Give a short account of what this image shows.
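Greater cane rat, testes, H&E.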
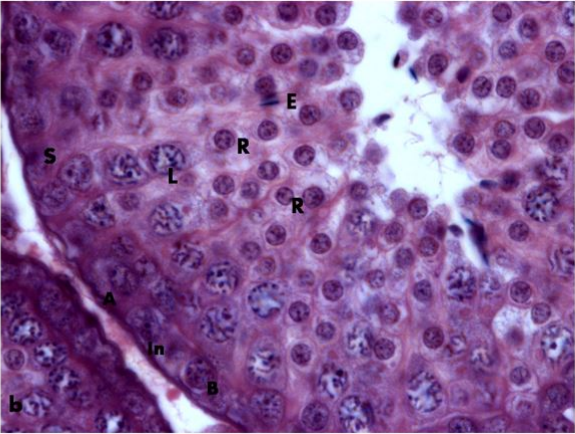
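Part of a seminiferous tubule of the testis with layered spermatogenic cells and Sertoli cells, stained pink and purple. Along the basal boundary lie spermatogonia in a single outer row, above them larger spermatocytes with big round nuclei showing coarse, thread-like chromatin. Toward the lumen are small round spermatids with evenly stained nuclei and a few elongated spermatids with slender, dark nuclei. A neighbouring tubule and a thin interstitial gap appear at the lower left corner.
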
